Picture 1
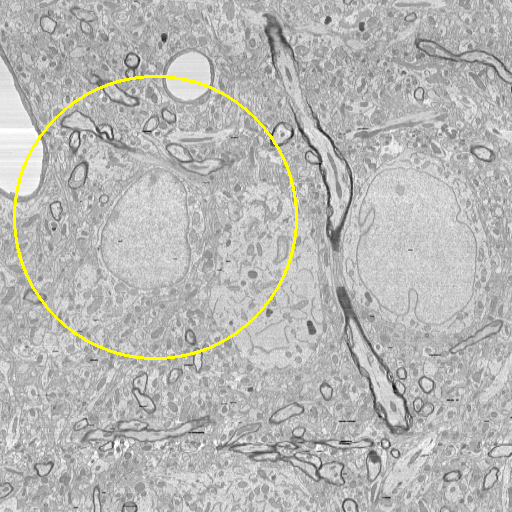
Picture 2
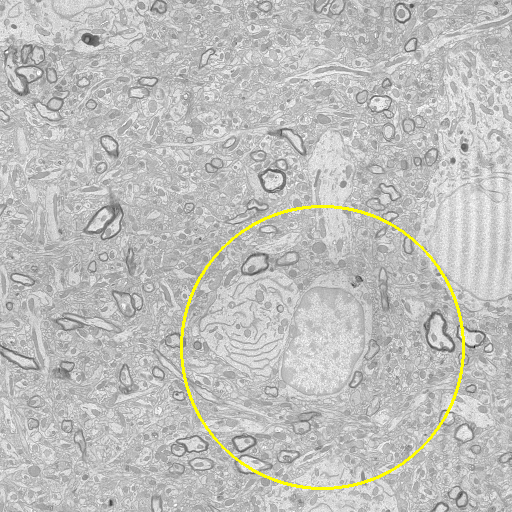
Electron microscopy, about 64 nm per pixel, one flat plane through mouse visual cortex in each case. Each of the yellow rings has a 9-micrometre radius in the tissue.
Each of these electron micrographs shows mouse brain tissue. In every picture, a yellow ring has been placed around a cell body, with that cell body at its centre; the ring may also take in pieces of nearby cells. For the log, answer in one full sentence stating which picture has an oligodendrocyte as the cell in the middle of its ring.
In picture 2, the cell at the centre of the yellow ring is the requested one.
